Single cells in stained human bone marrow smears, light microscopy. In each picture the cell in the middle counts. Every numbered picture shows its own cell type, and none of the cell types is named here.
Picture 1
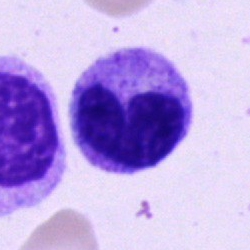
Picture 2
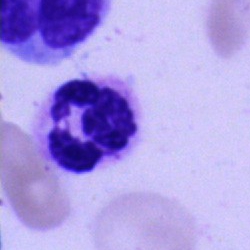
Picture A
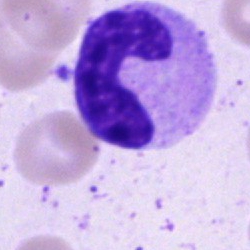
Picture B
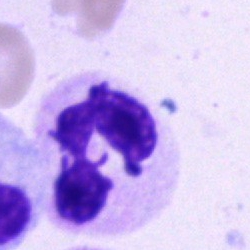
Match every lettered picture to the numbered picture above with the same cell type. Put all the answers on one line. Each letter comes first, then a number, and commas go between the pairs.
A 1, B 2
